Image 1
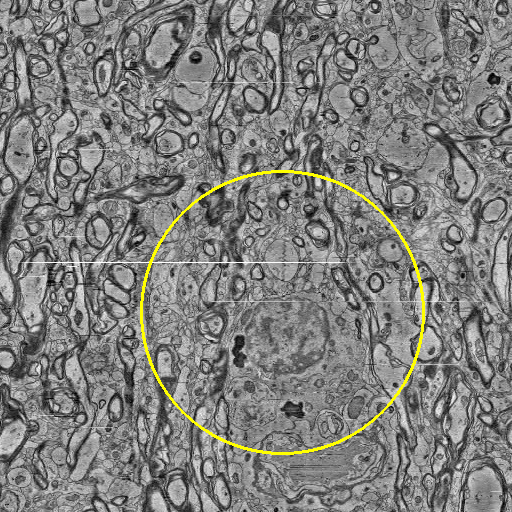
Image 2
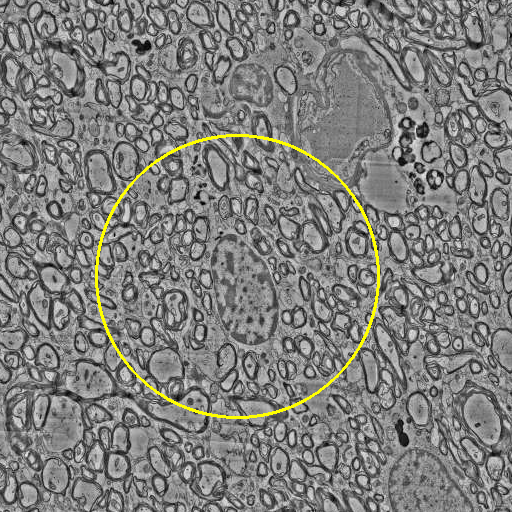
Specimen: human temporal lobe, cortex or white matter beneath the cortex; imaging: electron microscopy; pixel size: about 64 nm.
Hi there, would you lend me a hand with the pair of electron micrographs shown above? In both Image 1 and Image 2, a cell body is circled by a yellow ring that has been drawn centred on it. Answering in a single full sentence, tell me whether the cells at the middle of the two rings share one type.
No, the ringed cells in Image 1 and Image 2 belong to two types.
